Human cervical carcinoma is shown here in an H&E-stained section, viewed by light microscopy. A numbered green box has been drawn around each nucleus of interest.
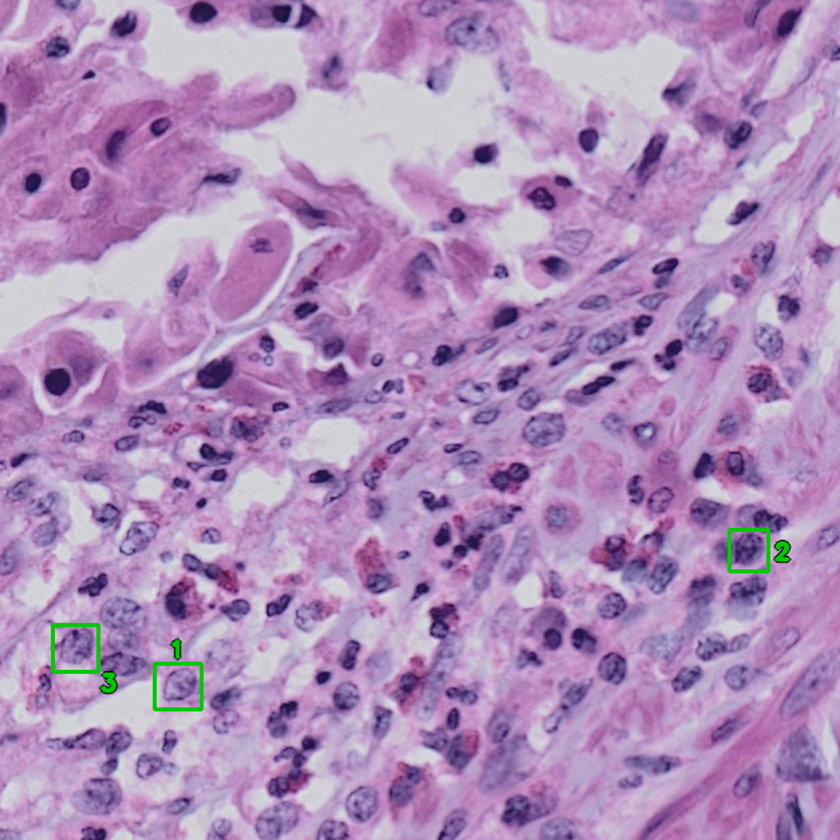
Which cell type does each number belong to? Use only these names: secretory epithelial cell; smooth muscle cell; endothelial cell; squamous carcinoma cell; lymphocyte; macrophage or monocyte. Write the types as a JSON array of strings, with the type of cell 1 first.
["macrophage or monocyte", "lymphocyte", "macrophage or monocyte"]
